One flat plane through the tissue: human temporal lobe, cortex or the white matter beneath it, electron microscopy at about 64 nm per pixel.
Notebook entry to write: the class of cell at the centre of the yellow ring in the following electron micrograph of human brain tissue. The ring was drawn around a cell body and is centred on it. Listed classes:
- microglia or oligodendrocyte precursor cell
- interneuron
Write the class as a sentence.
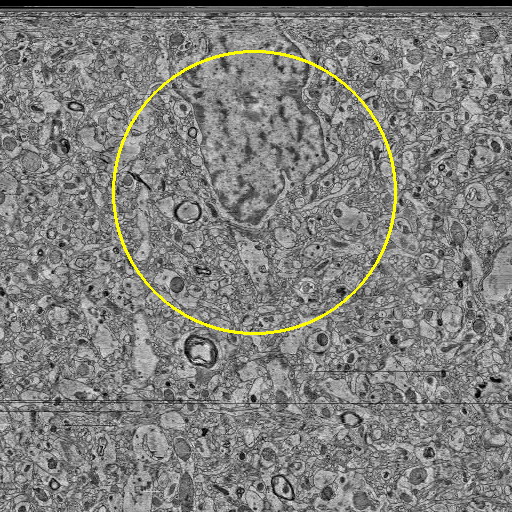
The yellow ring sits on a microglial cell or oligodendrocyte precursor cell.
